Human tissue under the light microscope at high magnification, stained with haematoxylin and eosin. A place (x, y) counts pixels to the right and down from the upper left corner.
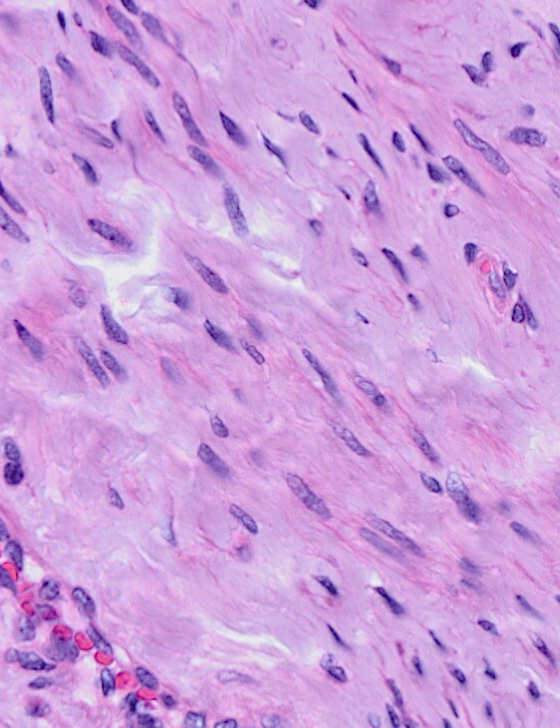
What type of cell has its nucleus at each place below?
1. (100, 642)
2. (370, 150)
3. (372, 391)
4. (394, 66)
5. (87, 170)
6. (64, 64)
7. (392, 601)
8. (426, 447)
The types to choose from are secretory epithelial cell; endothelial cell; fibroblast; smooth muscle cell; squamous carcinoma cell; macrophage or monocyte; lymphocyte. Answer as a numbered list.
1. endothelial cell
2. fibroblast
3. smooth muscle cell
4. smooth muscle cell
5. fibroblast
6. smooth muscle cell
7. fibroblast
8. smooth muscle cell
